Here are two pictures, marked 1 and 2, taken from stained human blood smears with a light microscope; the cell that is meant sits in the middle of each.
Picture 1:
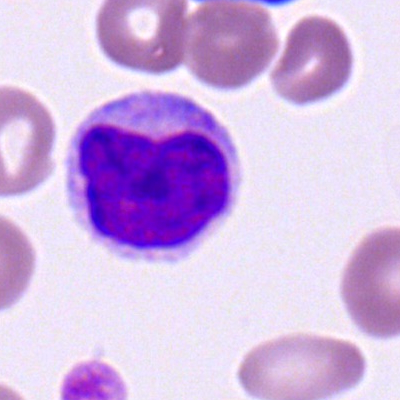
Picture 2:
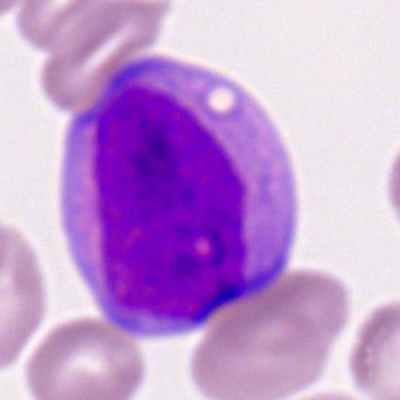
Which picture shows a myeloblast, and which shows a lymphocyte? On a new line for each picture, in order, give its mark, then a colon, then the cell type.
1: lymphocyte
2: myeloblast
